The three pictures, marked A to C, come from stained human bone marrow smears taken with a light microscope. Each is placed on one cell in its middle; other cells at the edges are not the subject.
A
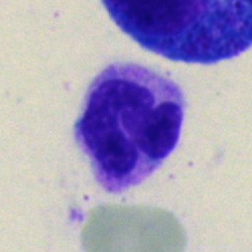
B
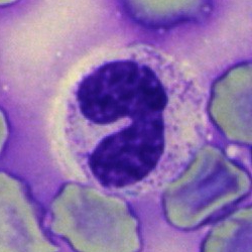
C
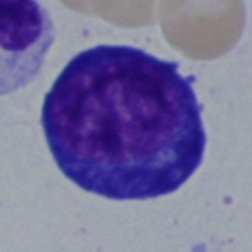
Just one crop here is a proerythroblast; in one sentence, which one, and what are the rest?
The cell sitting in crop C is a proerythroblast, while crop A is a segmented neutrophil and crop B is a band neutrophil.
